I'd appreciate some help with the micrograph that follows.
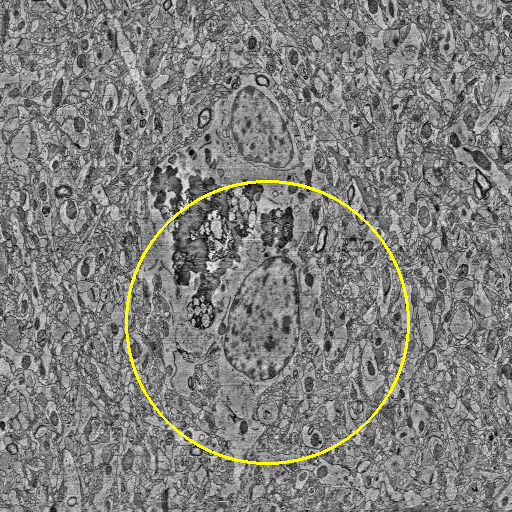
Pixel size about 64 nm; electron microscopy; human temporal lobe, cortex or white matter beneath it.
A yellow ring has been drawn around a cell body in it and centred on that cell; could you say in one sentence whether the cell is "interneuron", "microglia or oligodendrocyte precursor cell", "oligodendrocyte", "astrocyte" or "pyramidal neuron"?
It is an astrocyte at the centre of the ring.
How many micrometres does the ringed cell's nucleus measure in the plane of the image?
In this plane the nucleus is about 8 micrometres by 5.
